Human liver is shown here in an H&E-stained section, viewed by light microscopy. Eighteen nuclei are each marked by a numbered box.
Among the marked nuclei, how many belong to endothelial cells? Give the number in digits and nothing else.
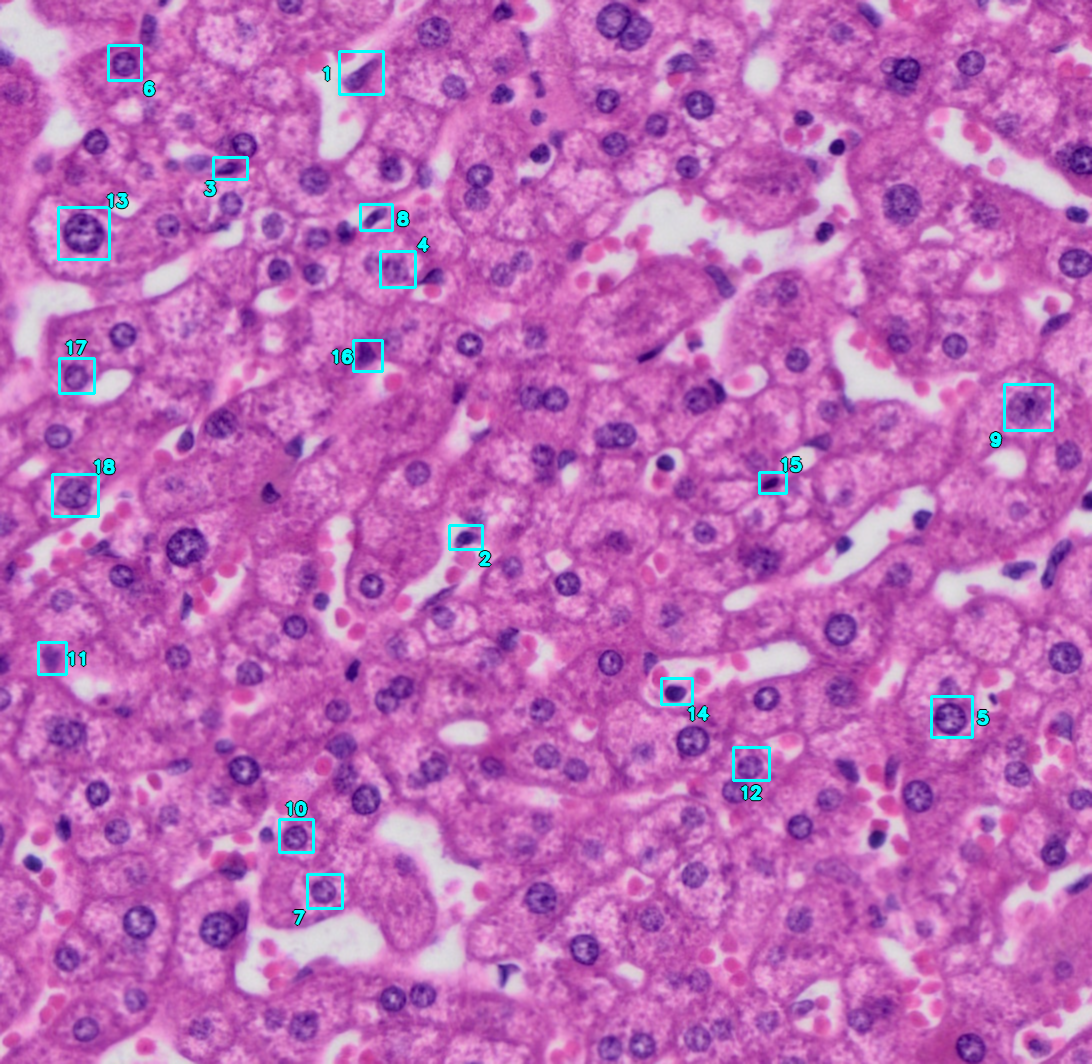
1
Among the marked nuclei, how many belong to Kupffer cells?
1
